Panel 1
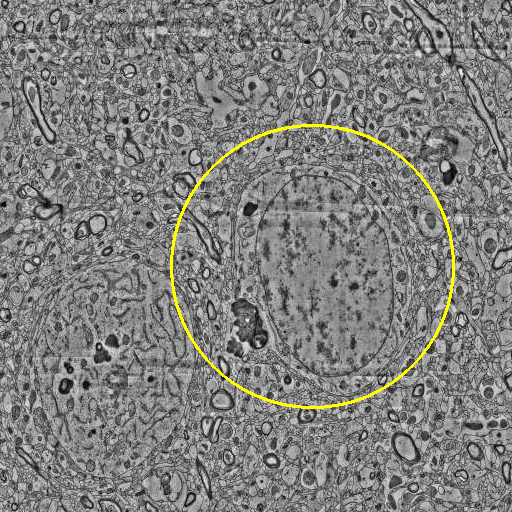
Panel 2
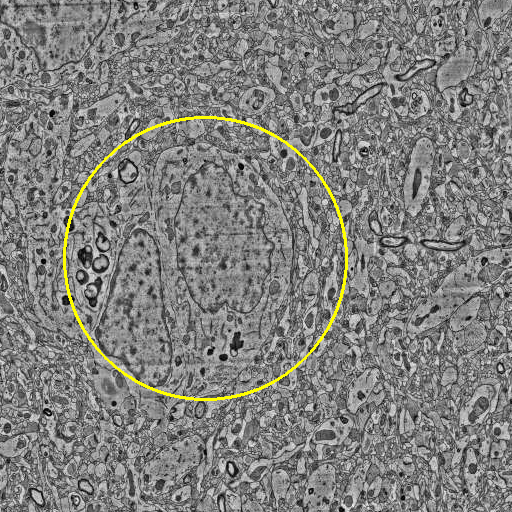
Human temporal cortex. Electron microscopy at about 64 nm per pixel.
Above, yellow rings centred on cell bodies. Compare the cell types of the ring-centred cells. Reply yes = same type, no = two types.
no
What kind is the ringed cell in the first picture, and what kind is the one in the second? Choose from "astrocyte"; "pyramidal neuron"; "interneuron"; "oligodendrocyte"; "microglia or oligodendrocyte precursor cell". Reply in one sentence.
The first cell is a pyramidal neuron; the second is an interneuron.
